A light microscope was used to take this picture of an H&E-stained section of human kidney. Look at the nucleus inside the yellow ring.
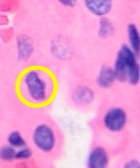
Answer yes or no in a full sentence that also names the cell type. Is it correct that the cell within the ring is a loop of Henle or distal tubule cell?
Yes, with respect to cell type, the cell within the ring is a loop of Henle or distal tubule cell.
